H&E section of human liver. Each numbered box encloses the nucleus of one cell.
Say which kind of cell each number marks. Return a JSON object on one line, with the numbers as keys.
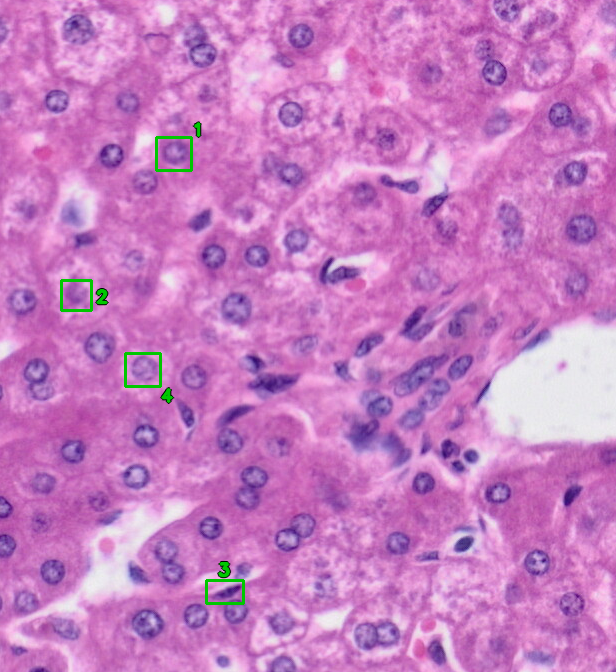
{"1": "hepatocyte", "2": "hepatocyte", "3": "fibroblast or stellate cell", "4": "hepatocyte"}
